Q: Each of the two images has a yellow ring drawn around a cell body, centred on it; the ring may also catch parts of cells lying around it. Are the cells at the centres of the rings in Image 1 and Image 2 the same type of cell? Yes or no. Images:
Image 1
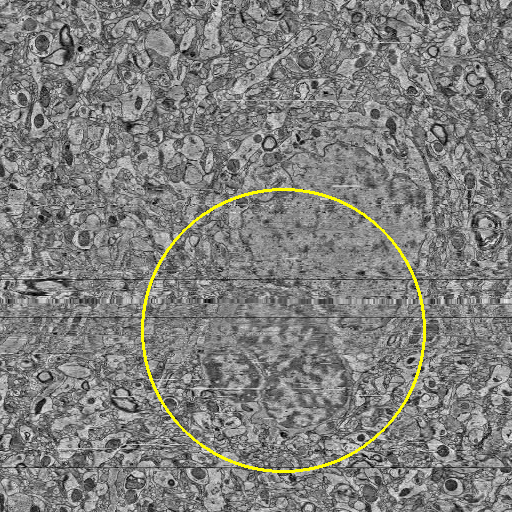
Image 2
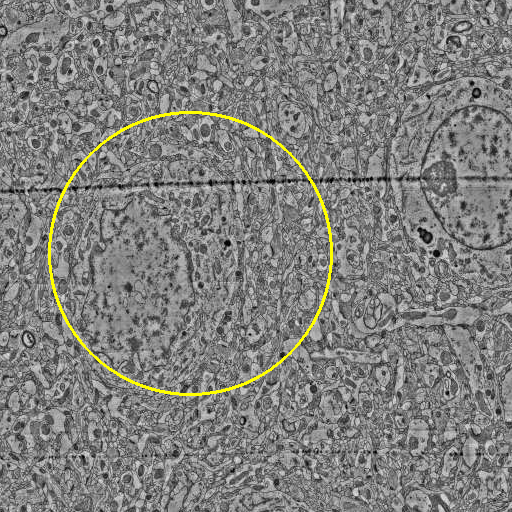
no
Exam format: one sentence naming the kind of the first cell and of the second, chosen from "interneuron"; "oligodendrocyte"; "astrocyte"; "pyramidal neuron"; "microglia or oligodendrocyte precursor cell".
The first picture's cell is an oligodendrocyte, and the second picture's cell is an interneuron.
